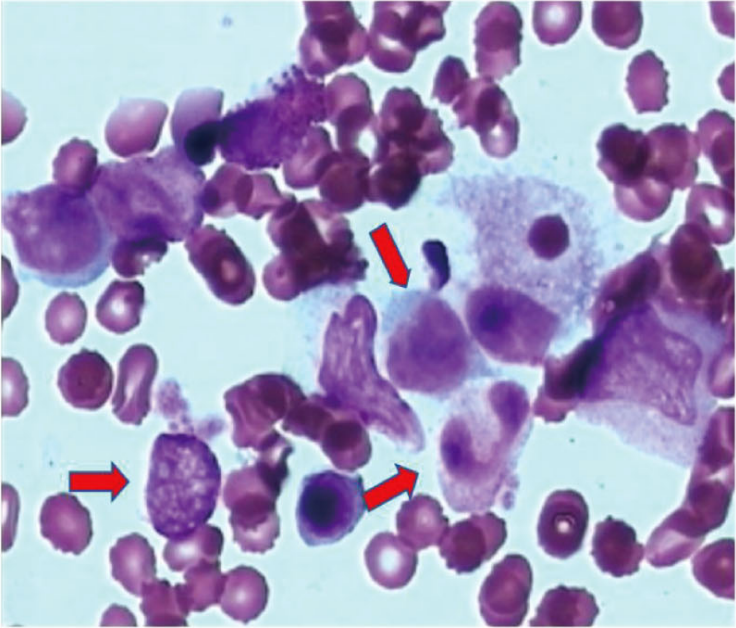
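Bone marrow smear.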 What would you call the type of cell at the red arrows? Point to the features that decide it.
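These cells are larger than the red blood cells beside them.
Hence: hemophagocytes.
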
